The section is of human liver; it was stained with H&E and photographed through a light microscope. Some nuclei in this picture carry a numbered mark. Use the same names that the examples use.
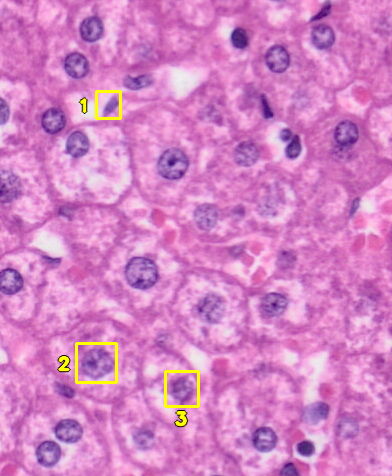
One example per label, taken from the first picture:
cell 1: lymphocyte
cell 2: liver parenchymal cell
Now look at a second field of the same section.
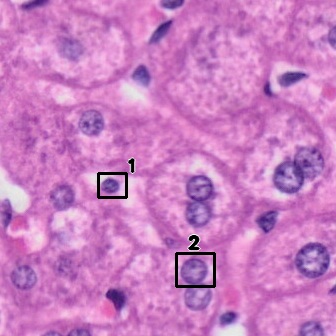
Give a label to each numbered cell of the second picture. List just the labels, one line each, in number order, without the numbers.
lymphocyte
liver parenchymal cell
